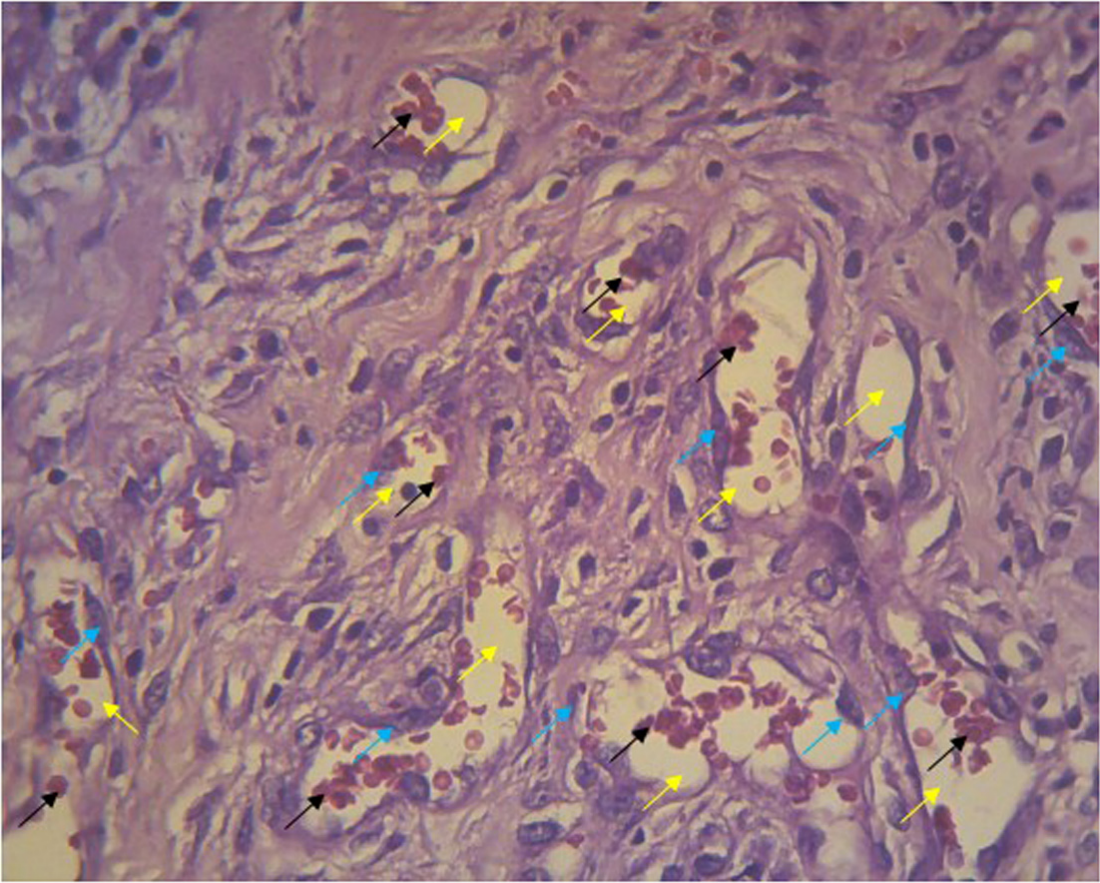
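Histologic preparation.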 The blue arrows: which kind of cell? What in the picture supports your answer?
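Endothelial cells. Flattened, elongated dark nuclei. They line the edges of pale open spaces that contain red cells.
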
